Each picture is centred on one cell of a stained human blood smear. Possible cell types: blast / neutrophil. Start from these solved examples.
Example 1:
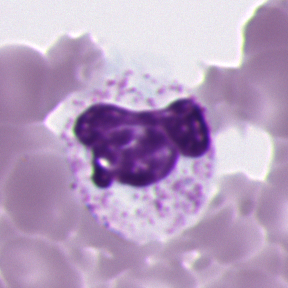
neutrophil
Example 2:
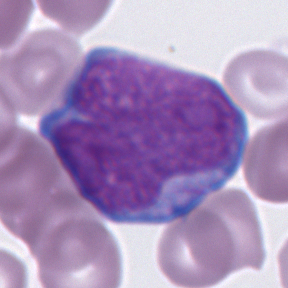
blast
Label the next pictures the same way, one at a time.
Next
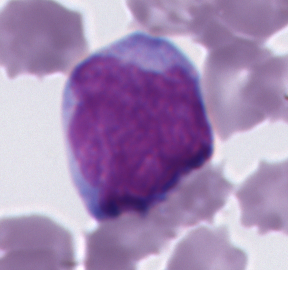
blast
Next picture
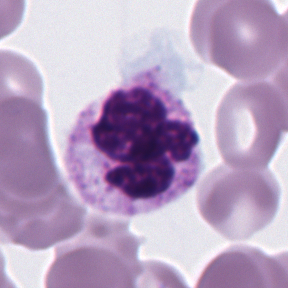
neutrophil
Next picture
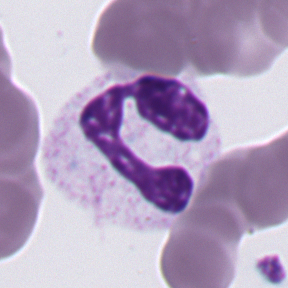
neutrophil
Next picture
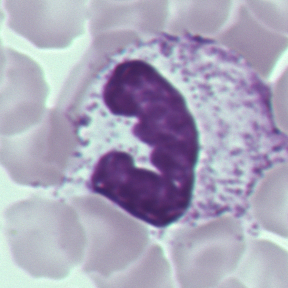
neutrophil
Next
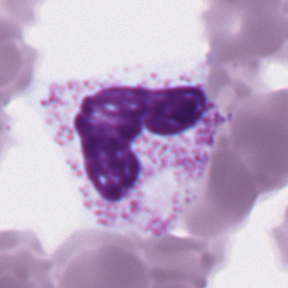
neutrophil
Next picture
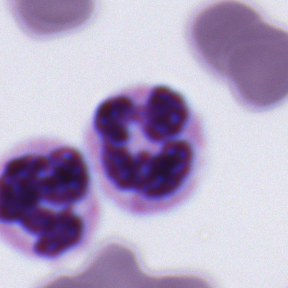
neutrophil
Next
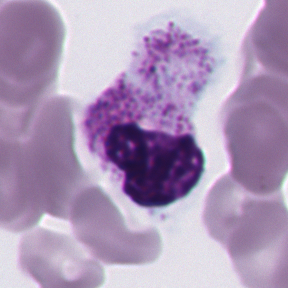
neutrophil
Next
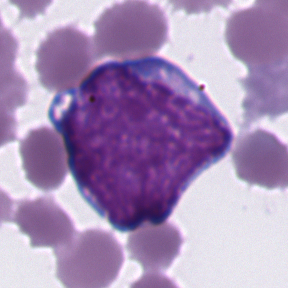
blast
